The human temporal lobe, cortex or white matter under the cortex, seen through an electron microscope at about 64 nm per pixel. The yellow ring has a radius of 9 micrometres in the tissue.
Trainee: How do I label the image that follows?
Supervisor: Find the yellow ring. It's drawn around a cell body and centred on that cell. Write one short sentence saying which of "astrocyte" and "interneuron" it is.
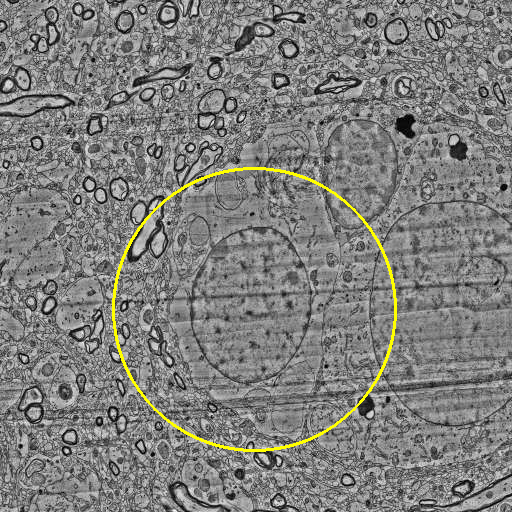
This is the cell body of an astrocyte.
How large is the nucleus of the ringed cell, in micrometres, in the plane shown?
About 10 by 8 micrometers for the nucleus, in this plane.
